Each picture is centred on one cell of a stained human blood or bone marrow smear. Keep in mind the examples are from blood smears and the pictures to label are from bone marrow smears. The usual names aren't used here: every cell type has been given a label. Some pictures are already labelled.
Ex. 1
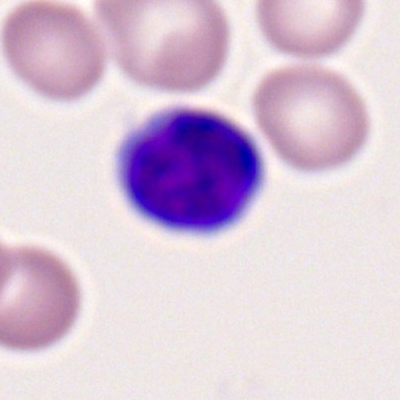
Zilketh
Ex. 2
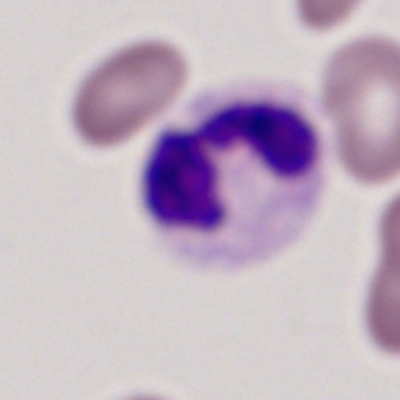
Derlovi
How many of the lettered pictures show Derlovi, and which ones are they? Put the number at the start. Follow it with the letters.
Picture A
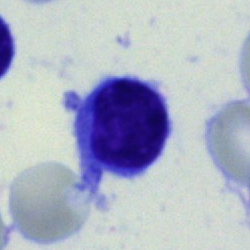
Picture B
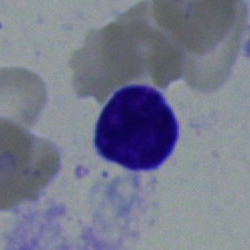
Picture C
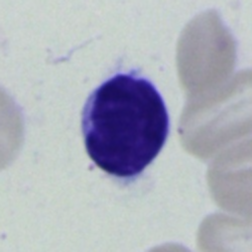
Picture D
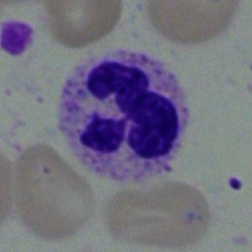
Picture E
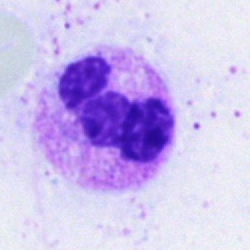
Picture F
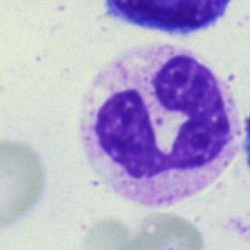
3, namely D, E, F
